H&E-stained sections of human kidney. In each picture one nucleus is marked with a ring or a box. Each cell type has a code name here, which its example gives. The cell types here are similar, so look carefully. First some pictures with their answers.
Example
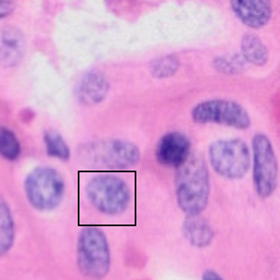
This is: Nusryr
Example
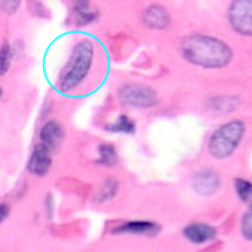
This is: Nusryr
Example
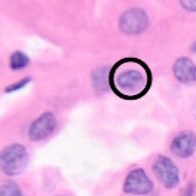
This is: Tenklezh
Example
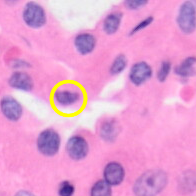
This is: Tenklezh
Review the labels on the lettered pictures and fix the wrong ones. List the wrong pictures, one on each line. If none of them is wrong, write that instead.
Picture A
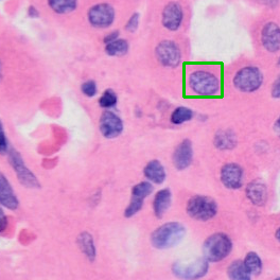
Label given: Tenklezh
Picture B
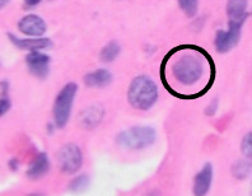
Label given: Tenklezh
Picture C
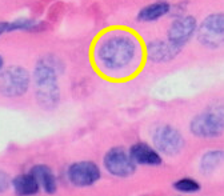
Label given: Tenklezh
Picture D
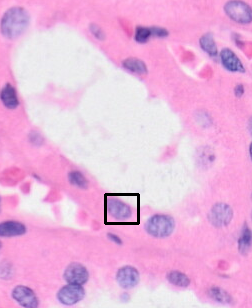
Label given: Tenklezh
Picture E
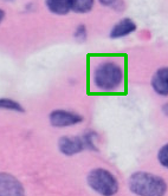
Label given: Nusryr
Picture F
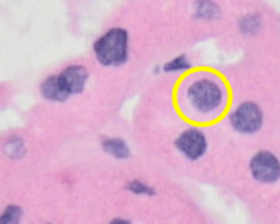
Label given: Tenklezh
C should be Nusryr, not Tenklezh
